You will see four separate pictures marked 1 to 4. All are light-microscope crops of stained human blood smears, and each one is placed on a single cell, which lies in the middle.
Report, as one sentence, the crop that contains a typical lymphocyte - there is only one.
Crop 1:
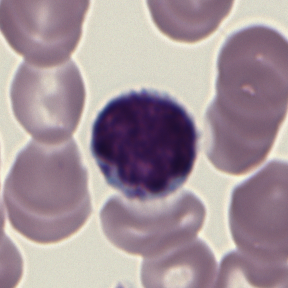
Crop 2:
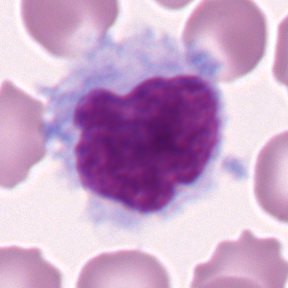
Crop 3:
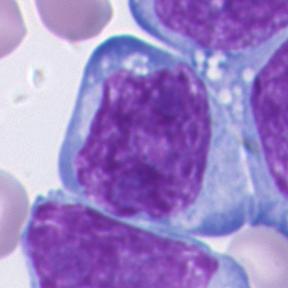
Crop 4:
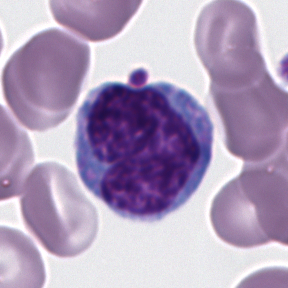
The one crop in the set with a typical lymphocyte is crop 1.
